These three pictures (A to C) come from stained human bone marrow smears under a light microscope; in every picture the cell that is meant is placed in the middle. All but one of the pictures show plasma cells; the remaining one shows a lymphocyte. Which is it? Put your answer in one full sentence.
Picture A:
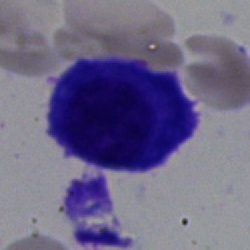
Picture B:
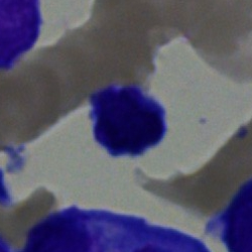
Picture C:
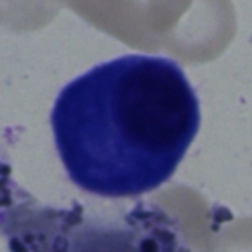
The lymphocyte is the one in picture B.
